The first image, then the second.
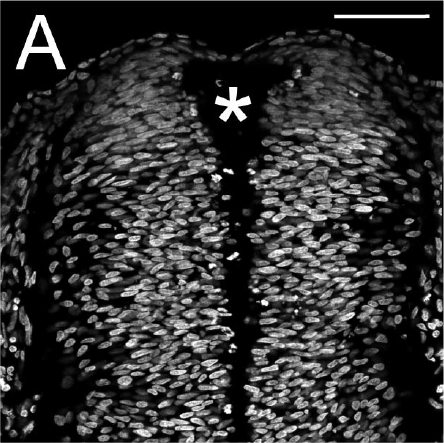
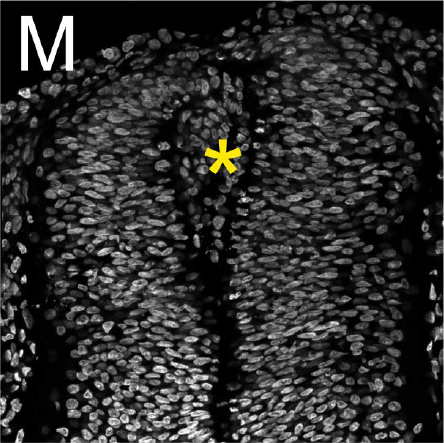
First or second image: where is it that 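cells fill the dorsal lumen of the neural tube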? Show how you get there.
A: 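Second image: a cluster of nuclei occupies the dorsal midline where the lumen lies. First image: the dorsal lumen is an open dark cleft without nuclei.
The second image.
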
